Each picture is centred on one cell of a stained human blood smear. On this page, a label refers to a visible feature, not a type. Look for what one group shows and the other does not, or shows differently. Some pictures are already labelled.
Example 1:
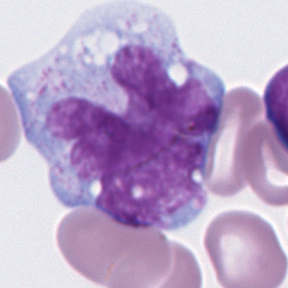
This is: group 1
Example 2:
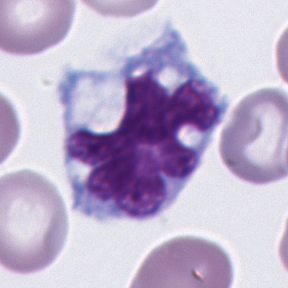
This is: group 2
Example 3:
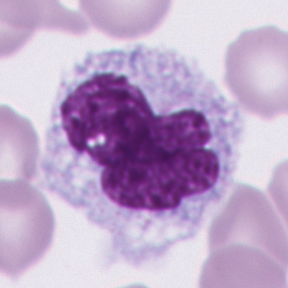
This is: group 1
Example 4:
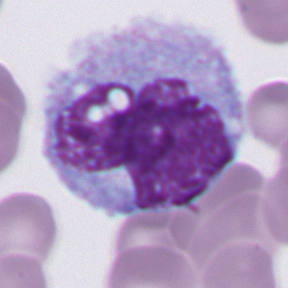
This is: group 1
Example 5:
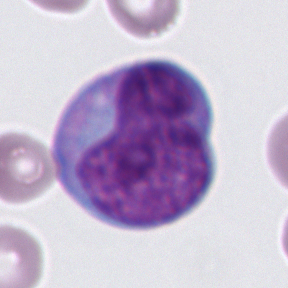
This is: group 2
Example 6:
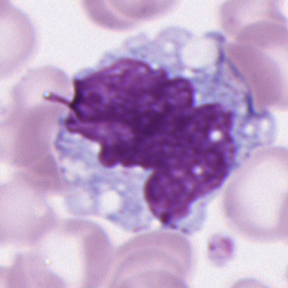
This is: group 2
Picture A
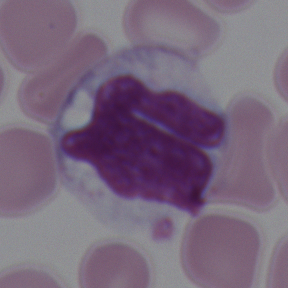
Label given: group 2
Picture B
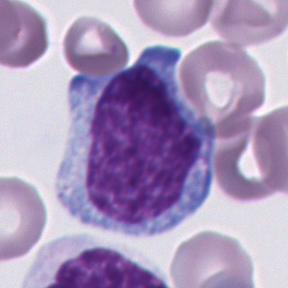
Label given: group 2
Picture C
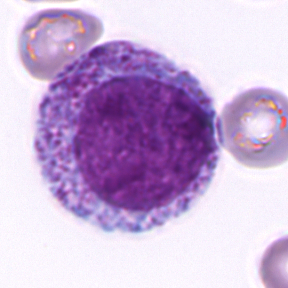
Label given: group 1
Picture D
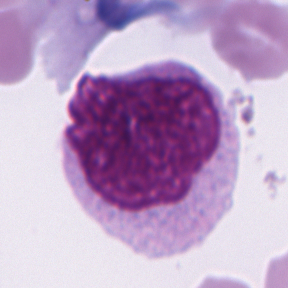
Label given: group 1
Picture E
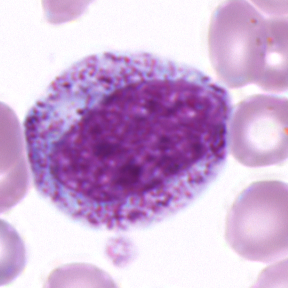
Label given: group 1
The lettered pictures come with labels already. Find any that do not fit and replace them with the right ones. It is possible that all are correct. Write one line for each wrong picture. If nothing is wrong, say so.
Nothing to fix; every label fits.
